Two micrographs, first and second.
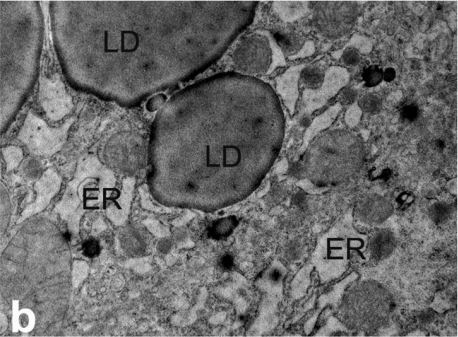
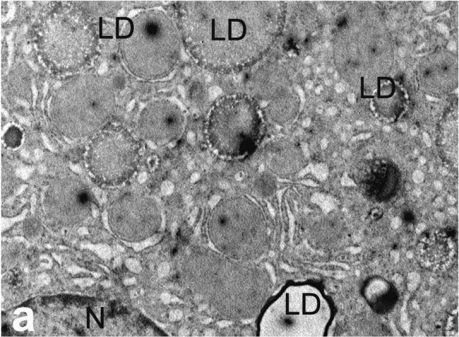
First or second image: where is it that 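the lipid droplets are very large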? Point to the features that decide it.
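The first image. First image: two huge dense round droplets take up much of the field. Second image: many smaller round droplets of differing density are scattered through the cytoplasm.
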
